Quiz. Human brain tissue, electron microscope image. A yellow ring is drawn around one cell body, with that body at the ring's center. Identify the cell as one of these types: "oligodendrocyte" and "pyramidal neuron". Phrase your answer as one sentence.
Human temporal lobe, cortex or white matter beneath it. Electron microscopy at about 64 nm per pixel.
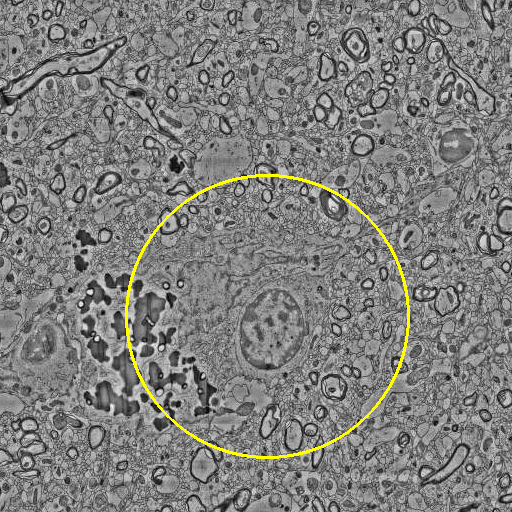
At the center of the ring sits an oligodendrocyte.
